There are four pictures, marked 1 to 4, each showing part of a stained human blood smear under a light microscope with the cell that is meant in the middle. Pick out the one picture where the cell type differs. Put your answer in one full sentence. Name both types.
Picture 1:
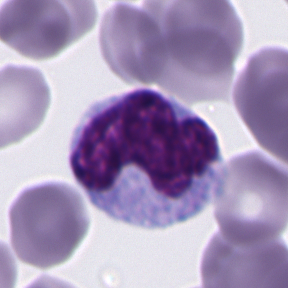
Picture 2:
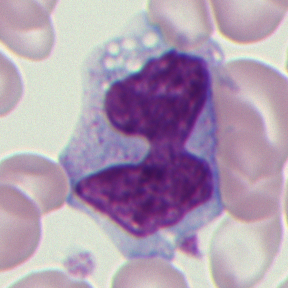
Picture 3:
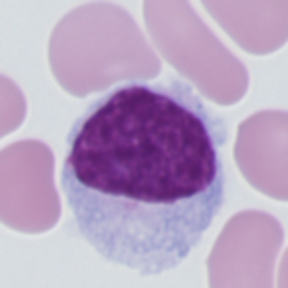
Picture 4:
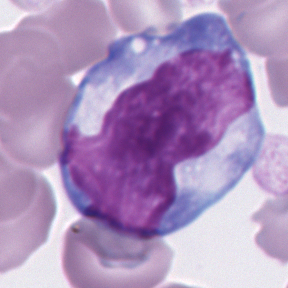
All pictures except 3 show monocytes; picture 3 shows a hairy cell.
